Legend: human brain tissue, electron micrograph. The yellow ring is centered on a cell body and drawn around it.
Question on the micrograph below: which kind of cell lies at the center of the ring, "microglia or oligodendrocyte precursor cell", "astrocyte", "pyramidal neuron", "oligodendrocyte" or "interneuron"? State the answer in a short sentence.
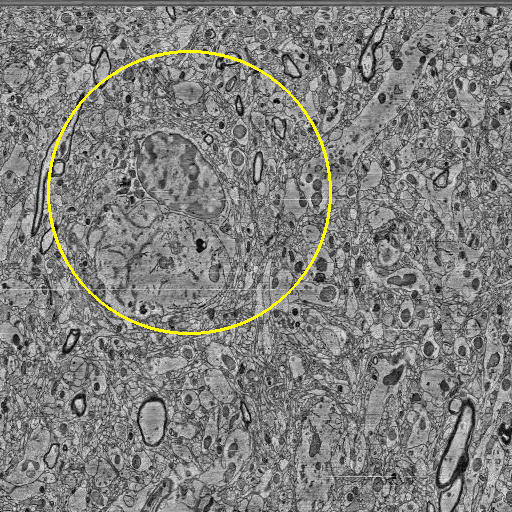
At the center of the ring lies a microglial cell or oligodendrocyte precursor cell.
